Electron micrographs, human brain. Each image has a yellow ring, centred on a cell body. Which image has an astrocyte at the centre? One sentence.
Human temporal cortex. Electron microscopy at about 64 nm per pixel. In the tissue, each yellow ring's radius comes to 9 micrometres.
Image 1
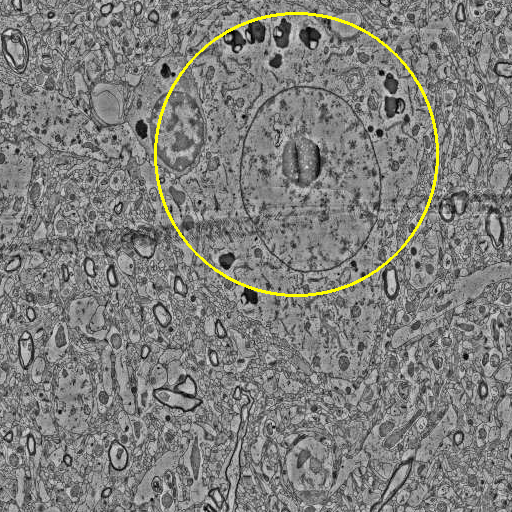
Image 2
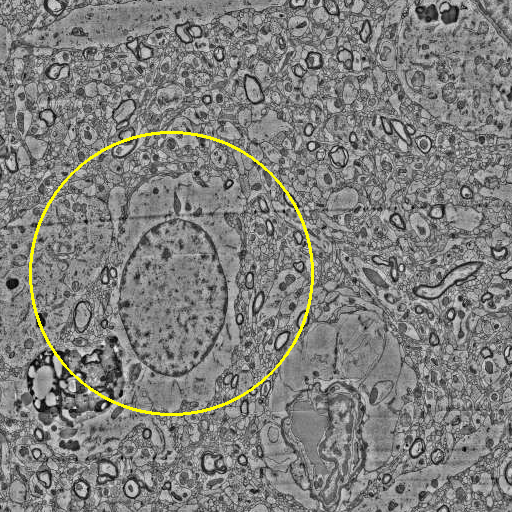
The ring in Image 2 is centred on it.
